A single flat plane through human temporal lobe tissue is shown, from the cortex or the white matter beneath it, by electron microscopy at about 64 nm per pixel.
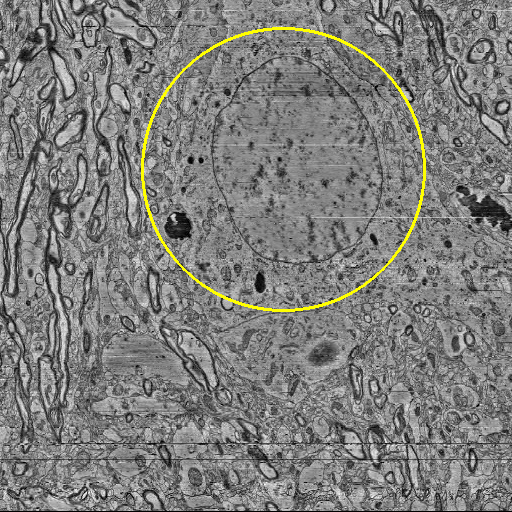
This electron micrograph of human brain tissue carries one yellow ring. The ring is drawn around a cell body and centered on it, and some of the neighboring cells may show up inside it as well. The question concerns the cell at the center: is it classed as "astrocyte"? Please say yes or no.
No, it is classed as another kind.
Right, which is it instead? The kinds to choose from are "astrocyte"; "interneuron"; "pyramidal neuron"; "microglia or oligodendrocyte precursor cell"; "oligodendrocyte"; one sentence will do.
The cell in the ring is a pyramidal neuron instead.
